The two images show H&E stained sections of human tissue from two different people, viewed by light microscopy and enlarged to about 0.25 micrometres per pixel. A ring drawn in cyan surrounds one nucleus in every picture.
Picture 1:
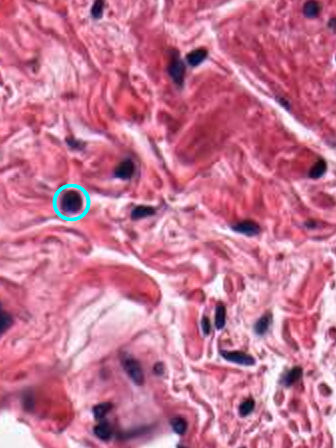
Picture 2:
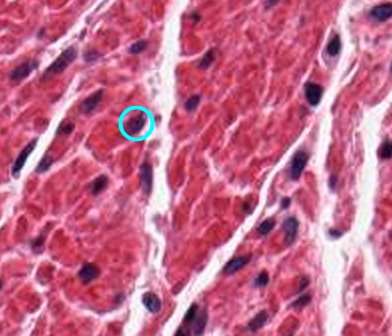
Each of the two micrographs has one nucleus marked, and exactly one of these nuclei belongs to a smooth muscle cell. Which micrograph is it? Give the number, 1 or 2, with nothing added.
2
